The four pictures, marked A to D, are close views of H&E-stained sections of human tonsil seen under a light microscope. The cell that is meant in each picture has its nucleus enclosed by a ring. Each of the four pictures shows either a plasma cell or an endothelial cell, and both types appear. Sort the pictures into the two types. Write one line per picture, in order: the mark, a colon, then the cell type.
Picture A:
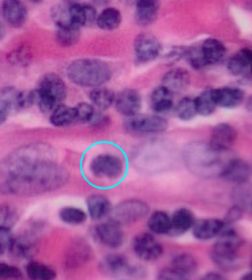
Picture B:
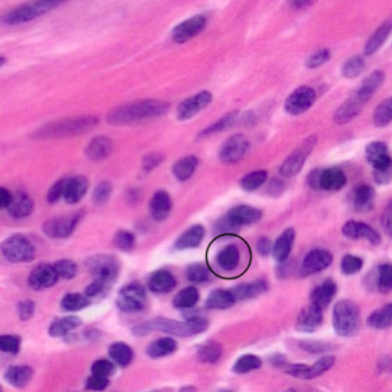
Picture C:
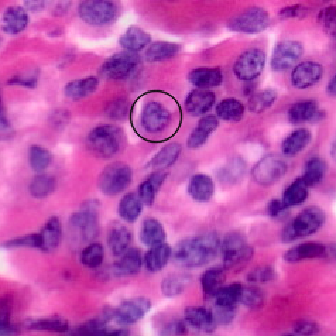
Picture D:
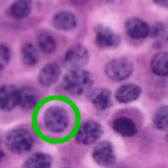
A: endothelial cell
B: plasma cell
C: plasma cell
D: plasma cell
